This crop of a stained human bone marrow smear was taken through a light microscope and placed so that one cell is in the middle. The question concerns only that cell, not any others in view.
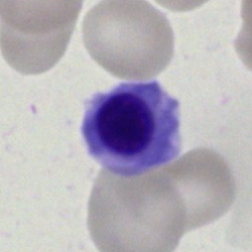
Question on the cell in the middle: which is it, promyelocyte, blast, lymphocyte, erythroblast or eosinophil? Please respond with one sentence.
Positioned in the middle of the crop is an erythroblast.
